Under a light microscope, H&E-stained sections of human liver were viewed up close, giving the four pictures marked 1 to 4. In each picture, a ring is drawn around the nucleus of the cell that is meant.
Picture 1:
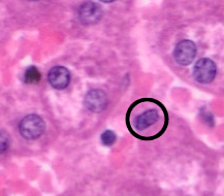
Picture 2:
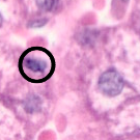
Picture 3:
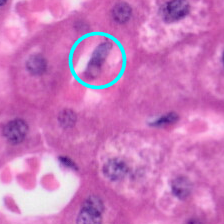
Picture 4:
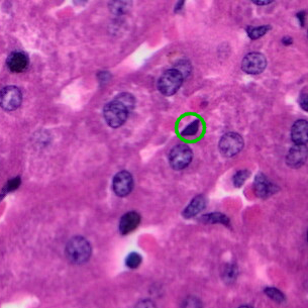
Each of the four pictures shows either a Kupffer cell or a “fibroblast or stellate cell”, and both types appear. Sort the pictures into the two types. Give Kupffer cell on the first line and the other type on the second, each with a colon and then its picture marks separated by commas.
Kupffer cell: 3
fibroblast or stellate cell: 1, 2, 4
